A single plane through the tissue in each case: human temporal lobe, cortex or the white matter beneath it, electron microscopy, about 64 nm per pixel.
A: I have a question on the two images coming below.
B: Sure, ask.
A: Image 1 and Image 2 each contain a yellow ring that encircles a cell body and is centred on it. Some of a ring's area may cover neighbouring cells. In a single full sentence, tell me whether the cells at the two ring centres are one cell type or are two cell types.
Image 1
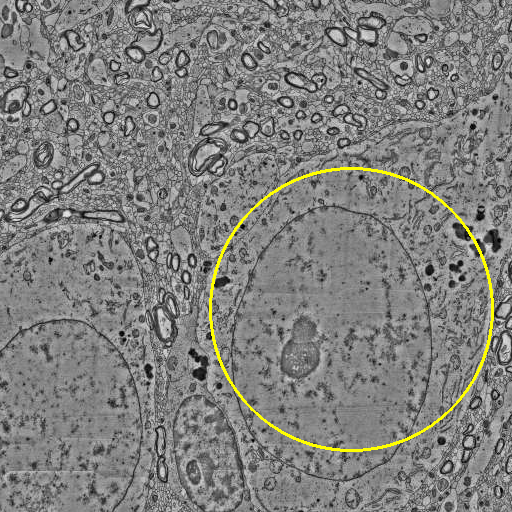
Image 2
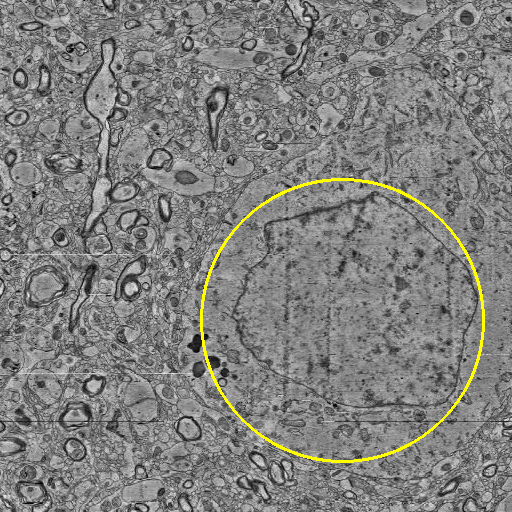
As for the ring-centre cells, the one in Image 1 and the one in Image 2 are one cell type.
